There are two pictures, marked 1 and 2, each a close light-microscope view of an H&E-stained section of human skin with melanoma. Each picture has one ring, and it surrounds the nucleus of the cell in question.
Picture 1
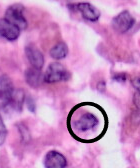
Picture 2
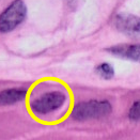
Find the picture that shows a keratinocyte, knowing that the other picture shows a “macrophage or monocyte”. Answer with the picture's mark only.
2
